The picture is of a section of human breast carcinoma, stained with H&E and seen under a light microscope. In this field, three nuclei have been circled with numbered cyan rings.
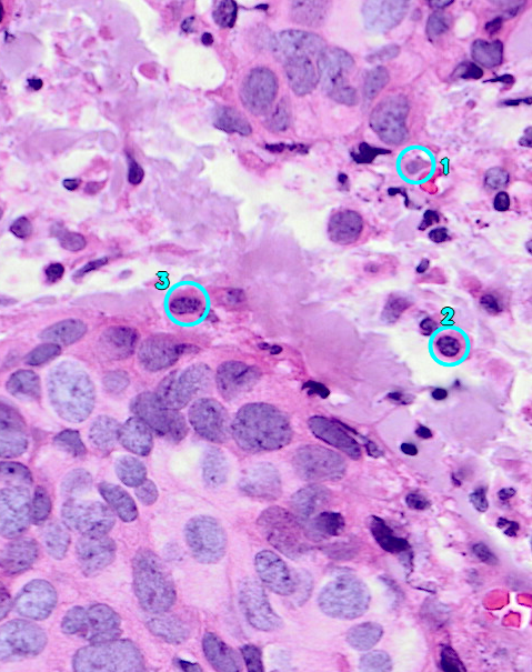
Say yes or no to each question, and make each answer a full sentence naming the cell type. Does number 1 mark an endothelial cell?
Yes. The cell carrying number 1 is an endothelial cell.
